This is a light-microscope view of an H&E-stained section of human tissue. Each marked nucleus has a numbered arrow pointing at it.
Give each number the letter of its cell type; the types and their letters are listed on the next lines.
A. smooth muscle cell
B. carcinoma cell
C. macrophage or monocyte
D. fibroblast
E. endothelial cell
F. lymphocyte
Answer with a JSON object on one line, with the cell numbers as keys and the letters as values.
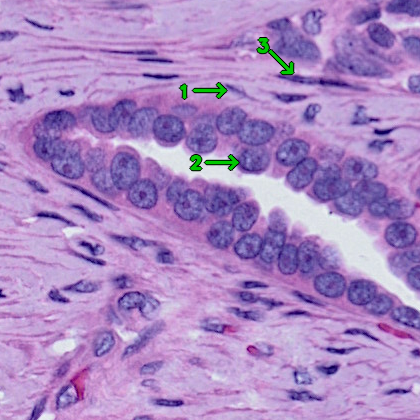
{"1": "D", "2": "B", "3": "D"}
